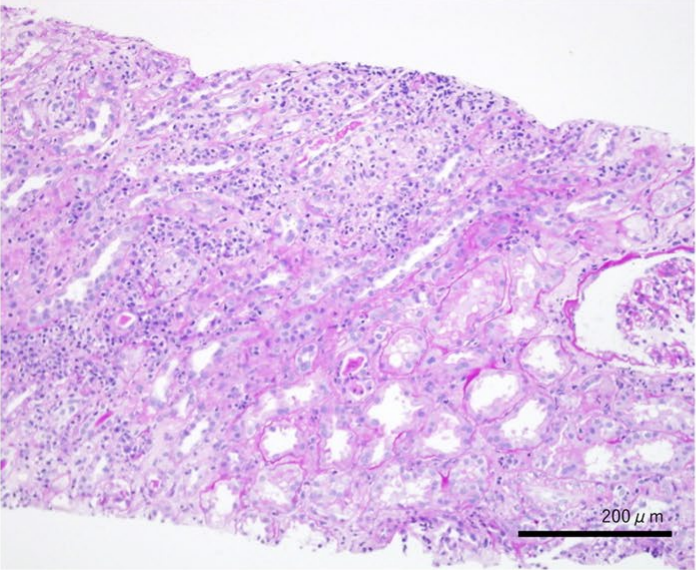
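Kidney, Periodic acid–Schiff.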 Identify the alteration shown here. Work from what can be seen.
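Dense infiltrates of small dark nuclei fill the spaces between tubules. Tubules are separated and distorted by the cellular interstitium. Some tubules have pale, vacuolated epithelium with magenta basement membranes. The answer: tubulointerstitial nephritis.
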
